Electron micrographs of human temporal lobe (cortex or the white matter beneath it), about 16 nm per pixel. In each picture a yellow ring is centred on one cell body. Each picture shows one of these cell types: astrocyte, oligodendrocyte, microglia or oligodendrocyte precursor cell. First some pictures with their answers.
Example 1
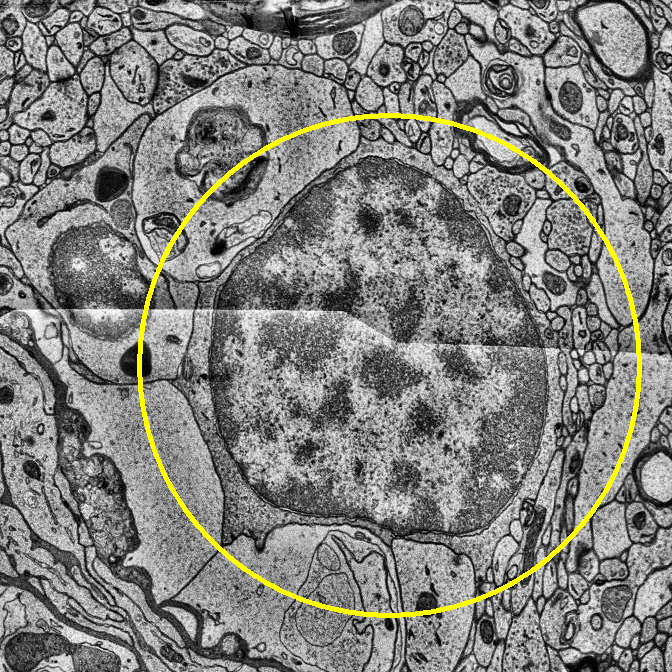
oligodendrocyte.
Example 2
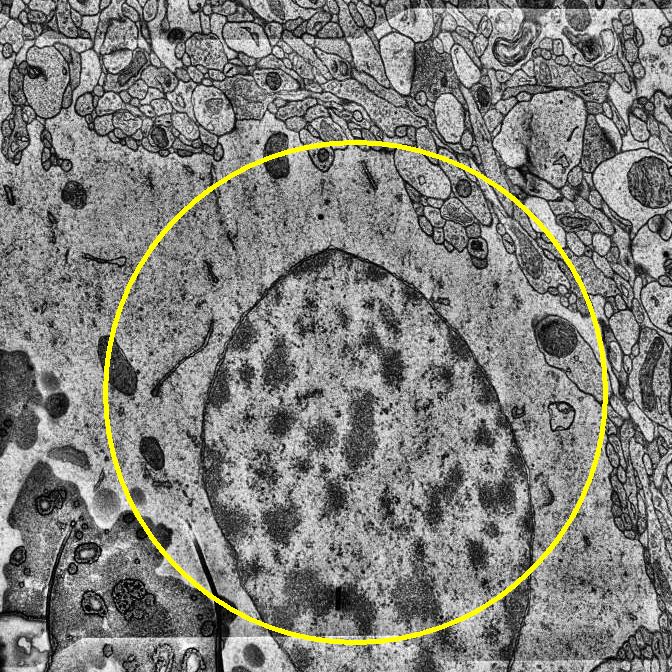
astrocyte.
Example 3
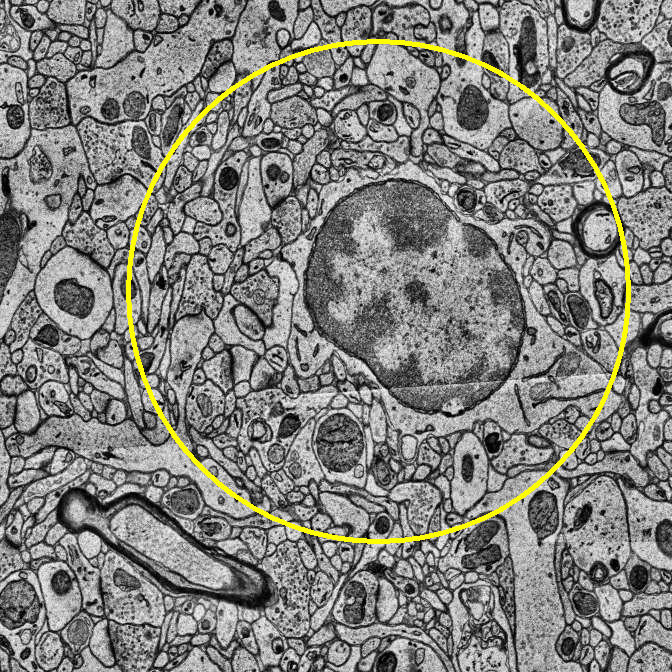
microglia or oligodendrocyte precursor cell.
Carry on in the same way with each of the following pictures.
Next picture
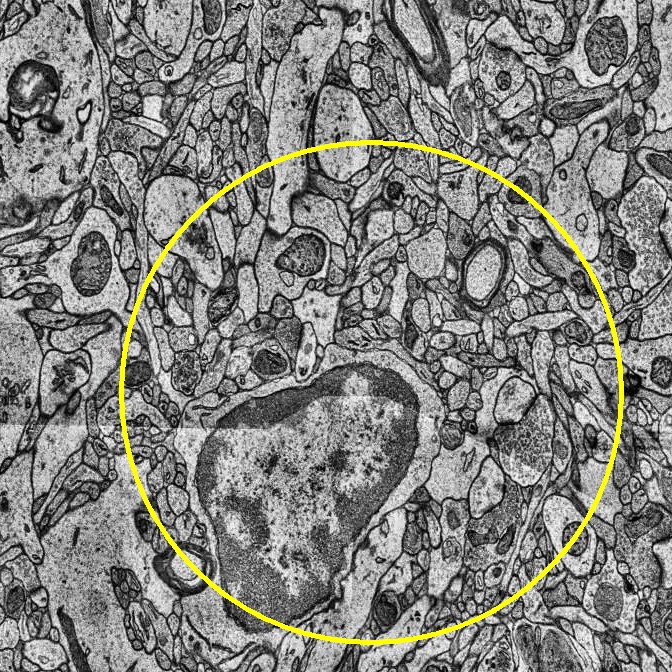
microglia or oligodendrocyte precursor cell.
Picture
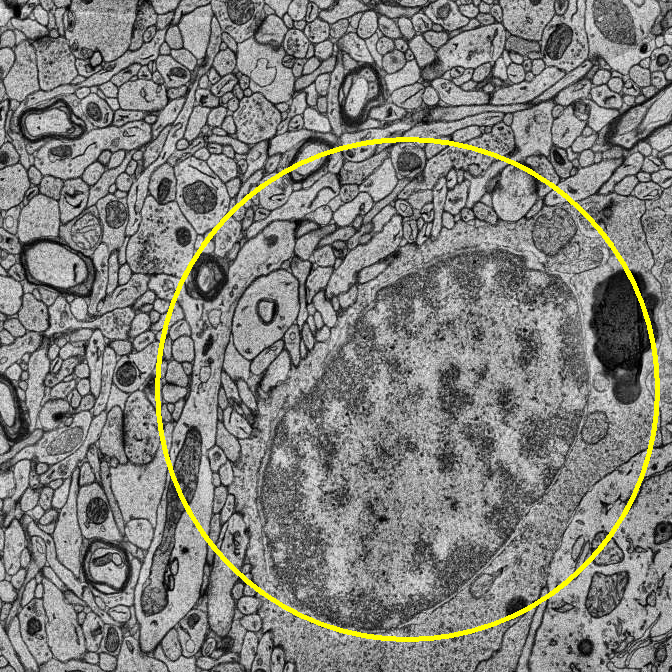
oligodendrocyte.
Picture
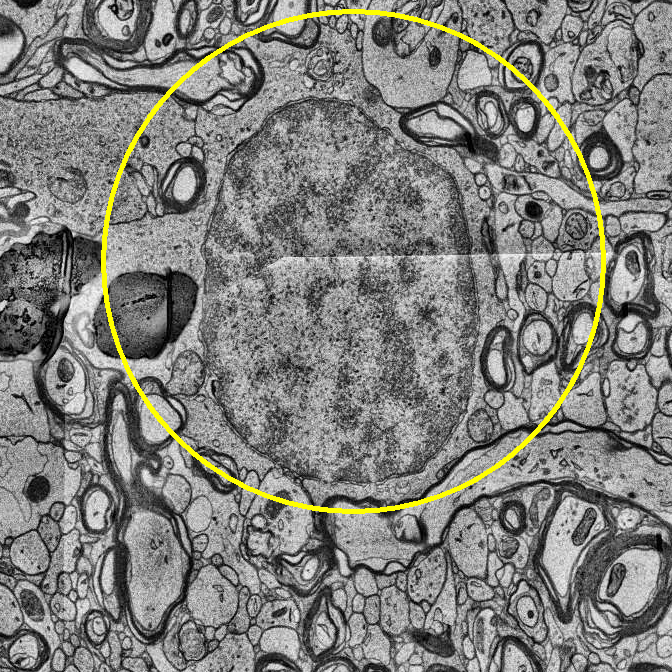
oligodendrocyte.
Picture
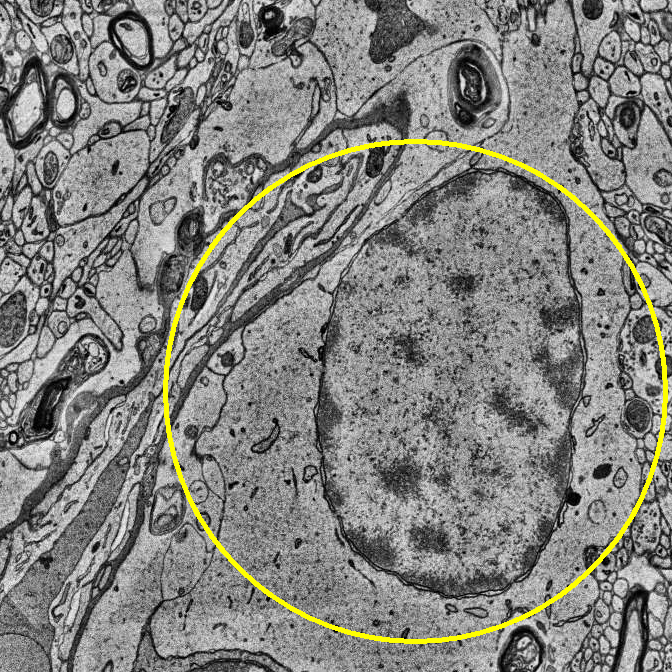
microglia or oligodendrocyte precursor cell.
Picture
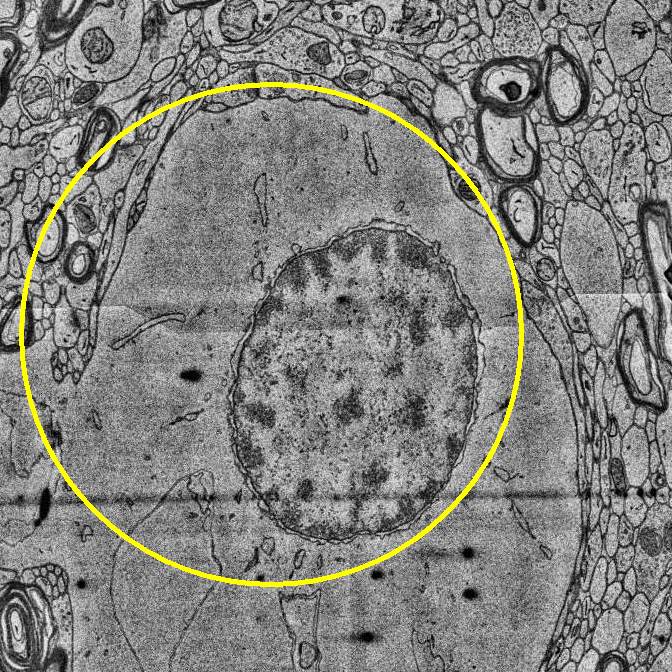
astrocyte.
